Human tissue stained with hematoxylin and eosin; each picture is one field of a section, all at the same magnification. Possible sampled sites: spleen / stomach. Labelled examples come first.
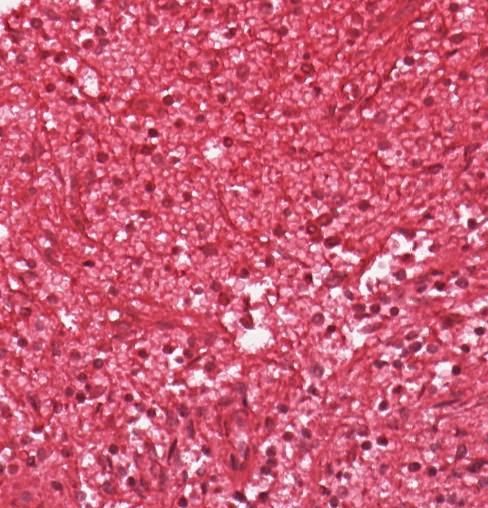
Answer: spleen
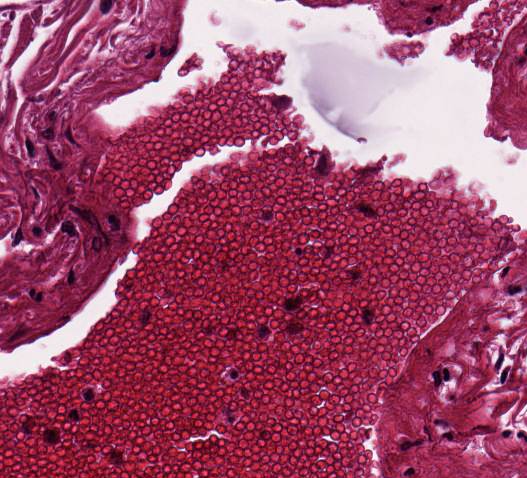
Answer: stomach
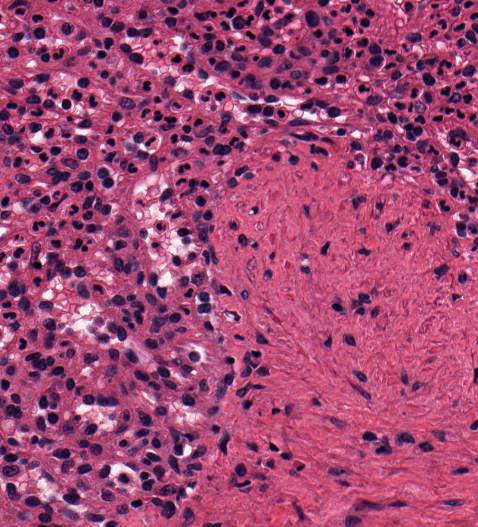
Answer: spleen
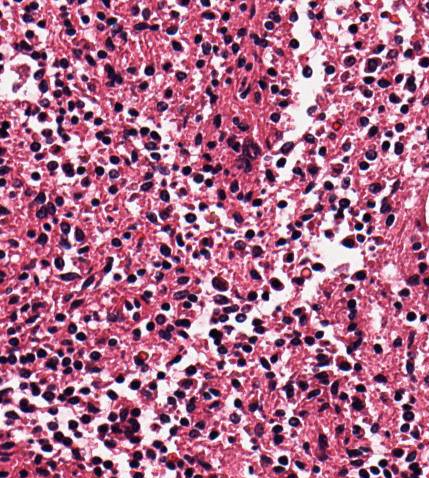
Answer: spleen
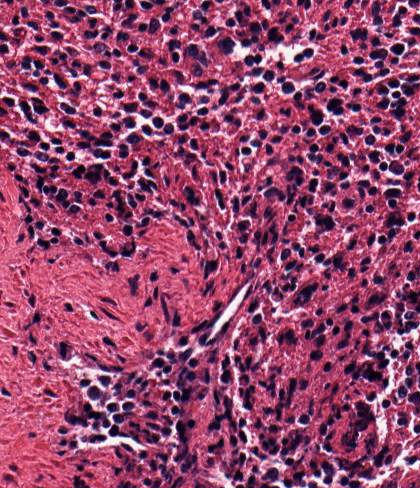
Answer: spleen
